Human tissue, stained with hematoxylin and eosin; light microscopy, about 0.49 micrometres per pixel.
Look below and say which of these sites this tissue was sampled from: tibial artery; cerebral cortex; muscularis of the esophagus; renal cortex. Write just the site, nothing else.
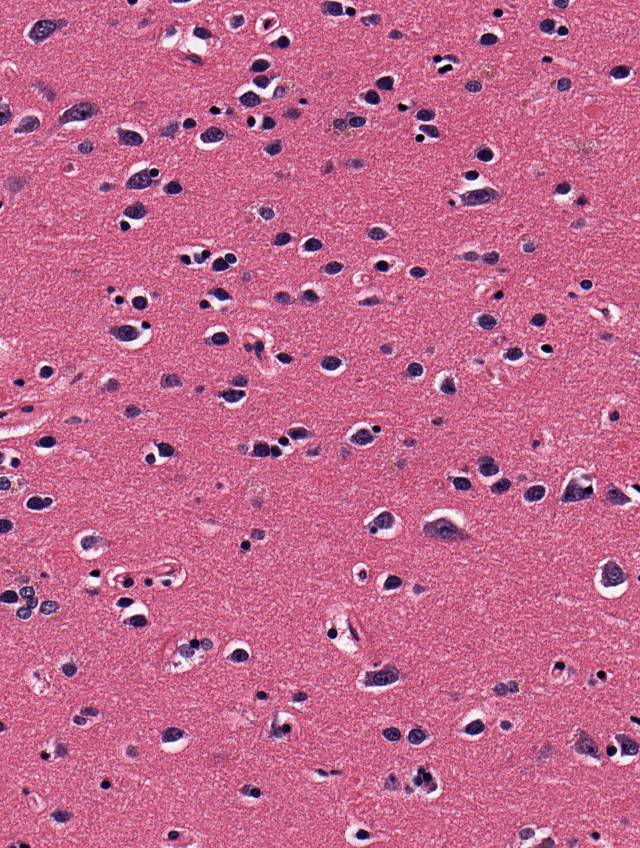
cerebral cortex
